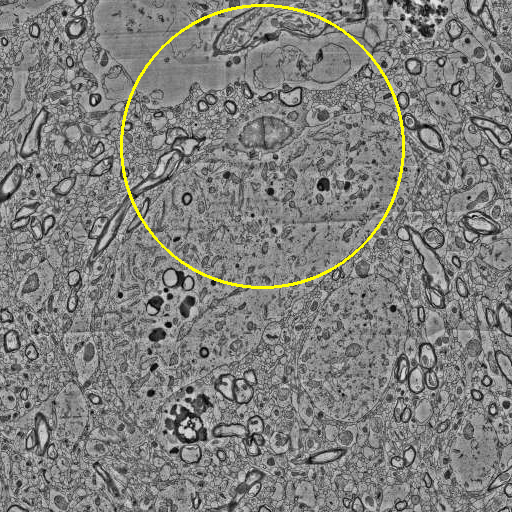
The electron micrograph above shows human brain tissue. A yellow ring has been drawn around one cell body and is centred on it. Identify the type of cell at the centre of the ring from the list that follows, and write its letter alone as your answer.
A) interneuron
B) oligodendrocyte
B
